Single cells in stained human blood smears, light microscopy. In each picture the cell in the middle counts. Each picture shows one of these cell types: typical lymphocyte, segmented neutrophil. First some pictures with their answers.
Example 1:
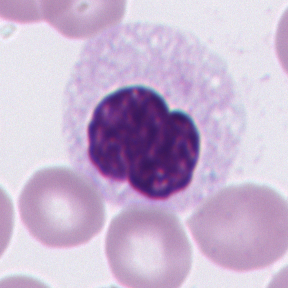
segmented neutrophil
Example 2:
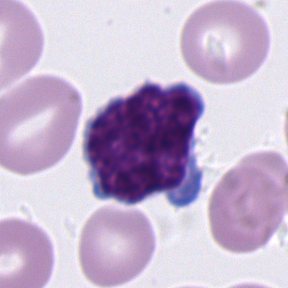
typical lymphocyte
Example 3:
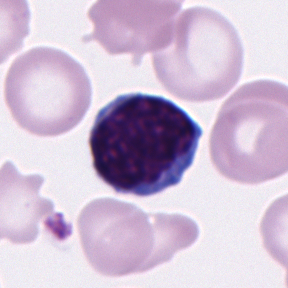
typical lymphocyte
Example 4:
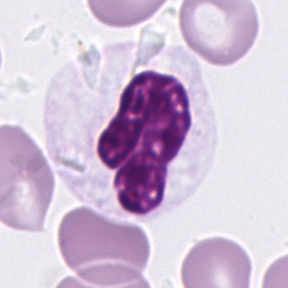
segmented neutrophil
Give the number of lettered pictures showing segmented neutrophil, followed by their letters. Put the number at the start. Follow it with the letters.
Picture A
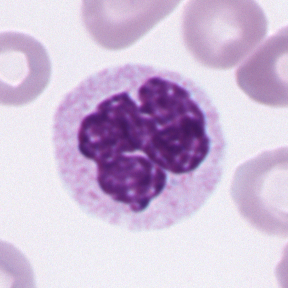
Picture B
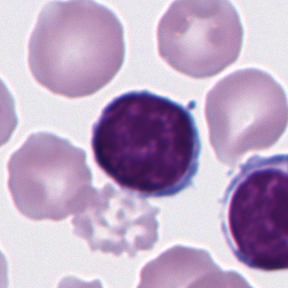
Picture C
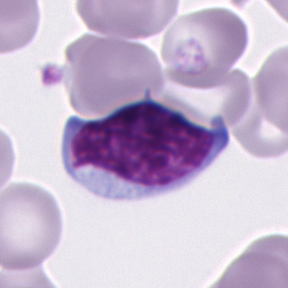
1, namely A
